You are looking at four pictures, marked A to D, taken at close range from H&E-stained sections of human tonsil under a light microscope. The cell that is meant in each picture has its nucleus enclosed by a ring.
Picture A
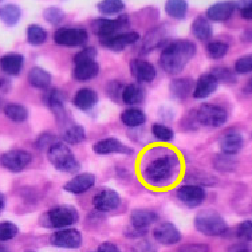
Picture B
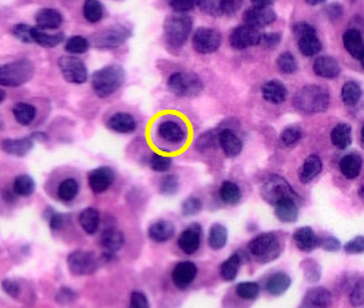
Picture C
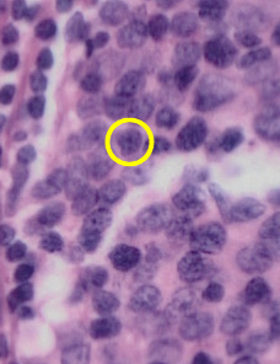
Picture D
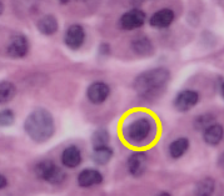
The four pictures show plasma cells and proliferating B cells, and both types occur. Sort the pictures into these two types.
A: plasma cell
B: plasma cell
C: proliferating B cell
D: plasma cell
